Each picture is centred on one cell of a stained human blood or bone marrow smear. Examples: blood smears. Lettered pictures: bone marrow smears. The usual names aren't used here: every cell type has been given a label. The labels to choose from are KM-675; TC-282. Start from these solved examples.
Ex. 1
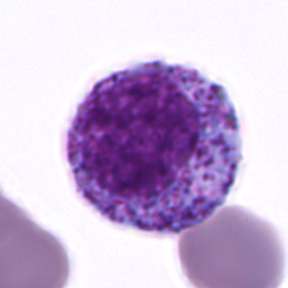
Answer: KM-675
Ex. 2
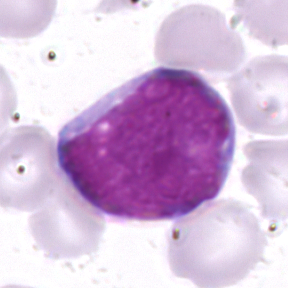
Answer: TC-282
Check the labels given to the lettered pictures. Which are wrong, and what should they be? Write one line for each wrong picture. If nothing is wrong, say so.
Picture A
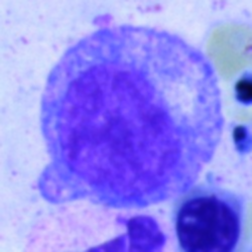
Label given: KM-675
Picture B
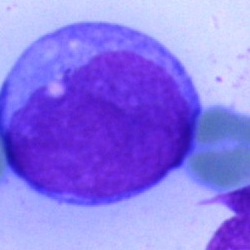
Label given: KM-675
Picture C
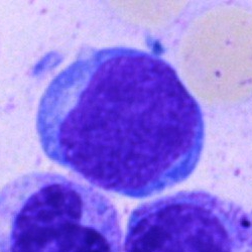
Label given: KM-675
B should be TC-282, not KM-675
C should be TC-282, not KM-675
